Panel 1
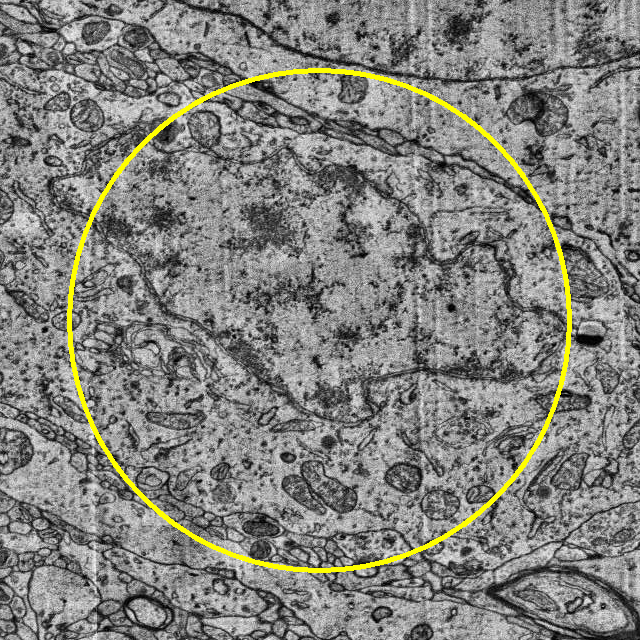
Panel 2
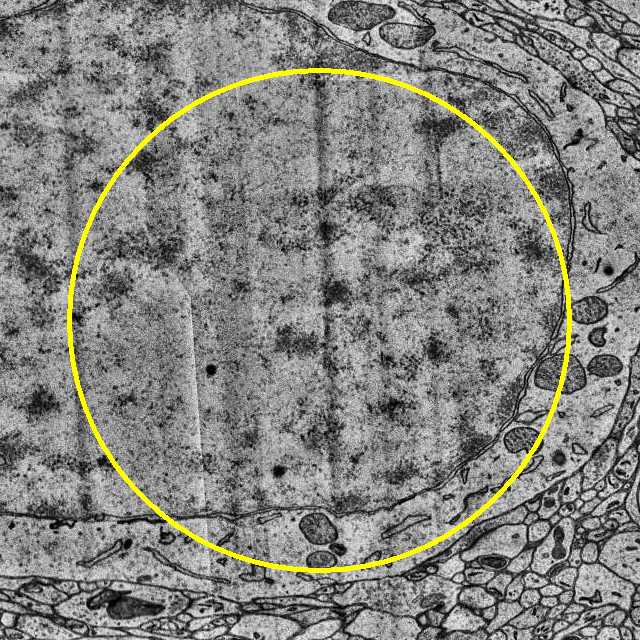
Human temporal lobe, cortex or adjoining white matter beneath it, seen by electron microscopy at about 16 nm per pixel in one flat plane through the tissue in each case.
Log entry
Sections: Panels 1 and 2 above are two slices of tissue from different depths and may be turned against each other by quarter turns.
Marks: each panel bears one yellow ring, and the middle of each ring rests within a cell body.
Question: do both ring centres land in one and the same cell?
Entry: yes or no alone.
no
